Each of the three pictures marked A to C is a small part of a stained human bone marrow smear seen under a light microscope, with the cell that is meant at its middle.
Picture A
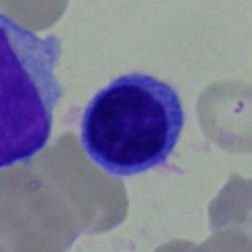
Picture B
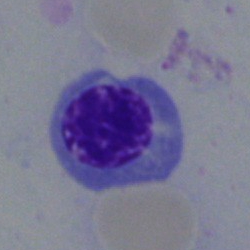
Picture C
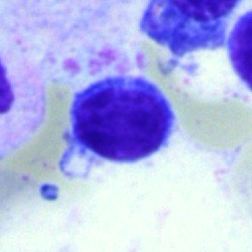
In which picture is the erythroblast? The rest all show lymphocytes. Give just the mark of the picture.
B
